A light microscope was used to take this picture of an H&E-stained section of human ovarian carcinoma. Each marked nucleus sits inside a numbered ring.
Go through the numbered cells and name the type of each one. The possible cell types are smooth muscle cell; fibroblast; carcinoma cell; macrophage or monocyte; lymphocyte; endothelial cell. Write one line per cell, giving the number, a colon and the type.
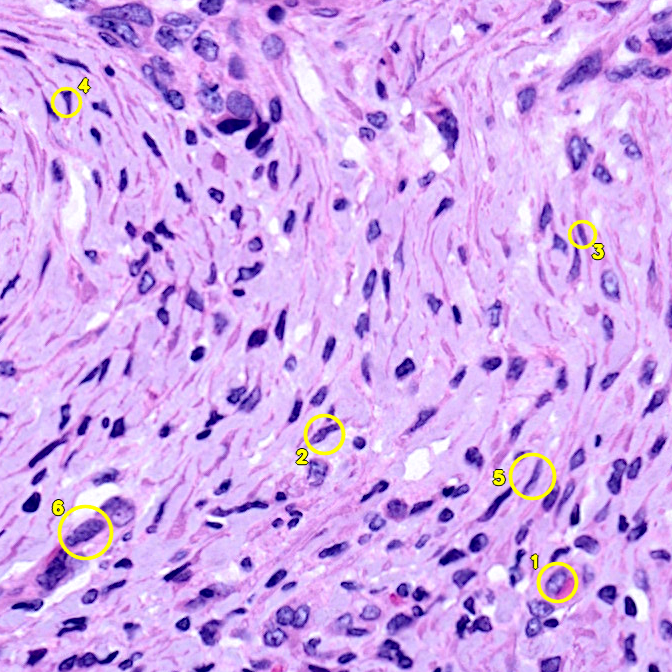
1: endothelial cell
2: fibroblast
3: fibroblast
4: fibroblast
5: fibroblast
6: endothelial cell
